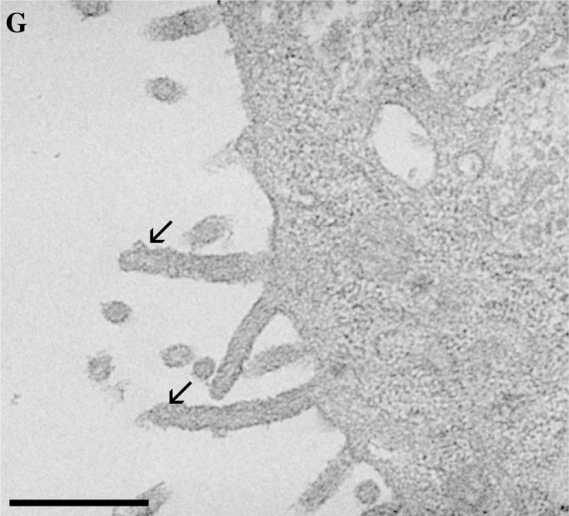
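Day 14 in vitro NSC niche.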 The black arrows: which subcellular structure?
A: Microvilli.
